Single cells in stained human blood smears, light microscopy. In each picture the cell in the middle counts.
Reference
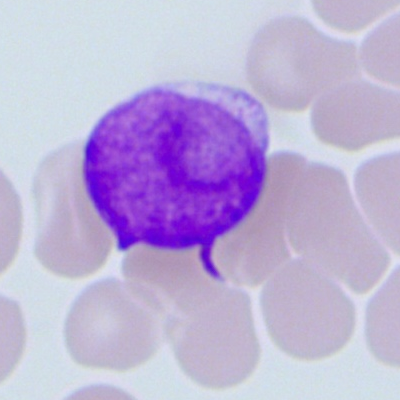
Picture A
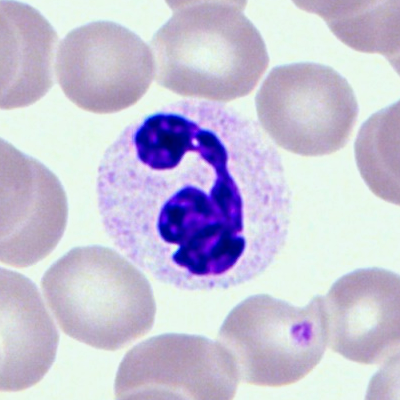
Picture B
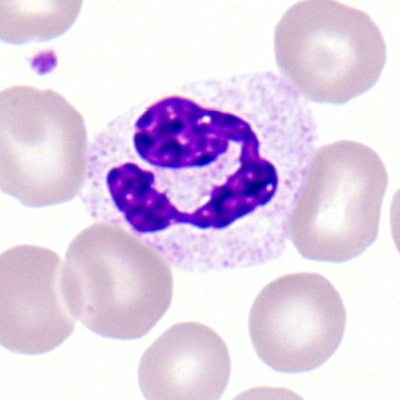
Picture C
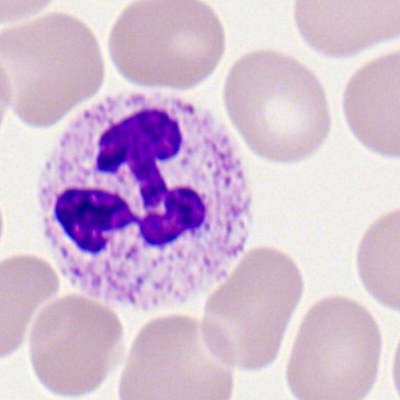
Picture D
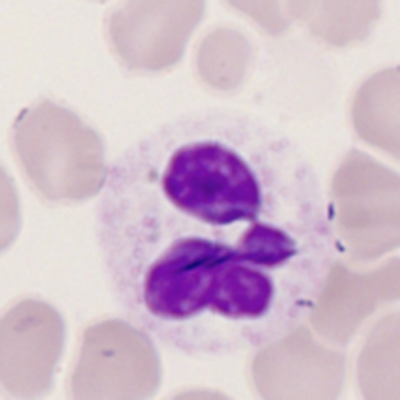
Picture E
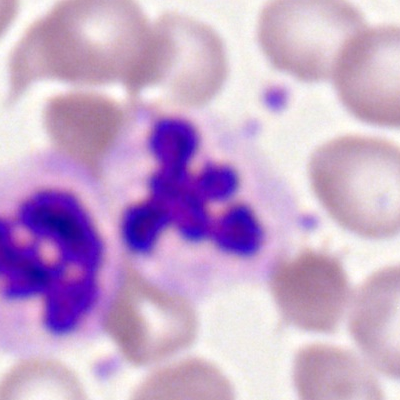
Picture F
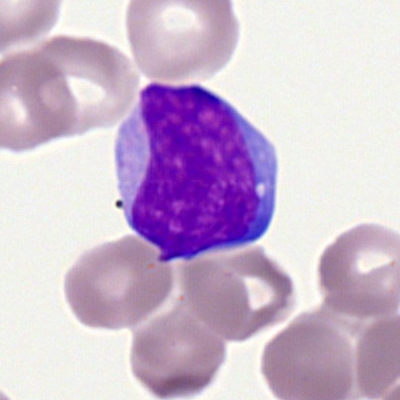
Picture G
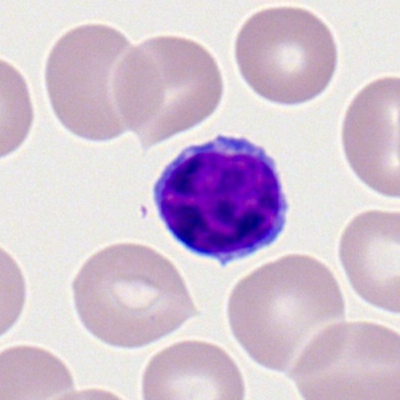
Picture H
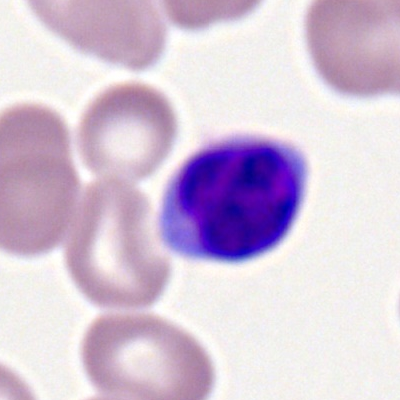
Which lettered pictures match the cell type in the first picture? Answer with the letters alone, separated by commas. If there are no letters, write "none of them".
F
